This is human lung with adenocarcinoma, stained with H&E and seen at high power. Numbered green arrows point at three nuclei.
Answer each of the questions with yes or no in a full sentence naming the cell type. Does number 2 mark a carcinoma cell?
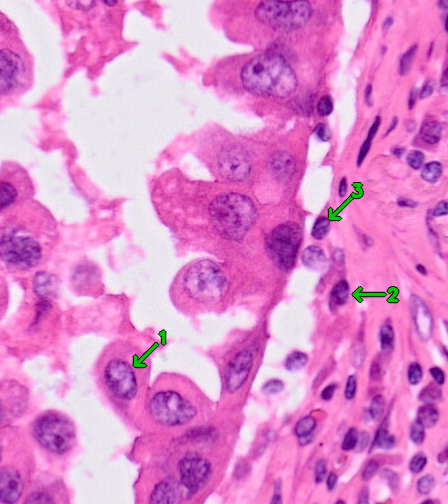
No, it is a plasma cell, rather than a carcinoma cell, that carries number 2.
